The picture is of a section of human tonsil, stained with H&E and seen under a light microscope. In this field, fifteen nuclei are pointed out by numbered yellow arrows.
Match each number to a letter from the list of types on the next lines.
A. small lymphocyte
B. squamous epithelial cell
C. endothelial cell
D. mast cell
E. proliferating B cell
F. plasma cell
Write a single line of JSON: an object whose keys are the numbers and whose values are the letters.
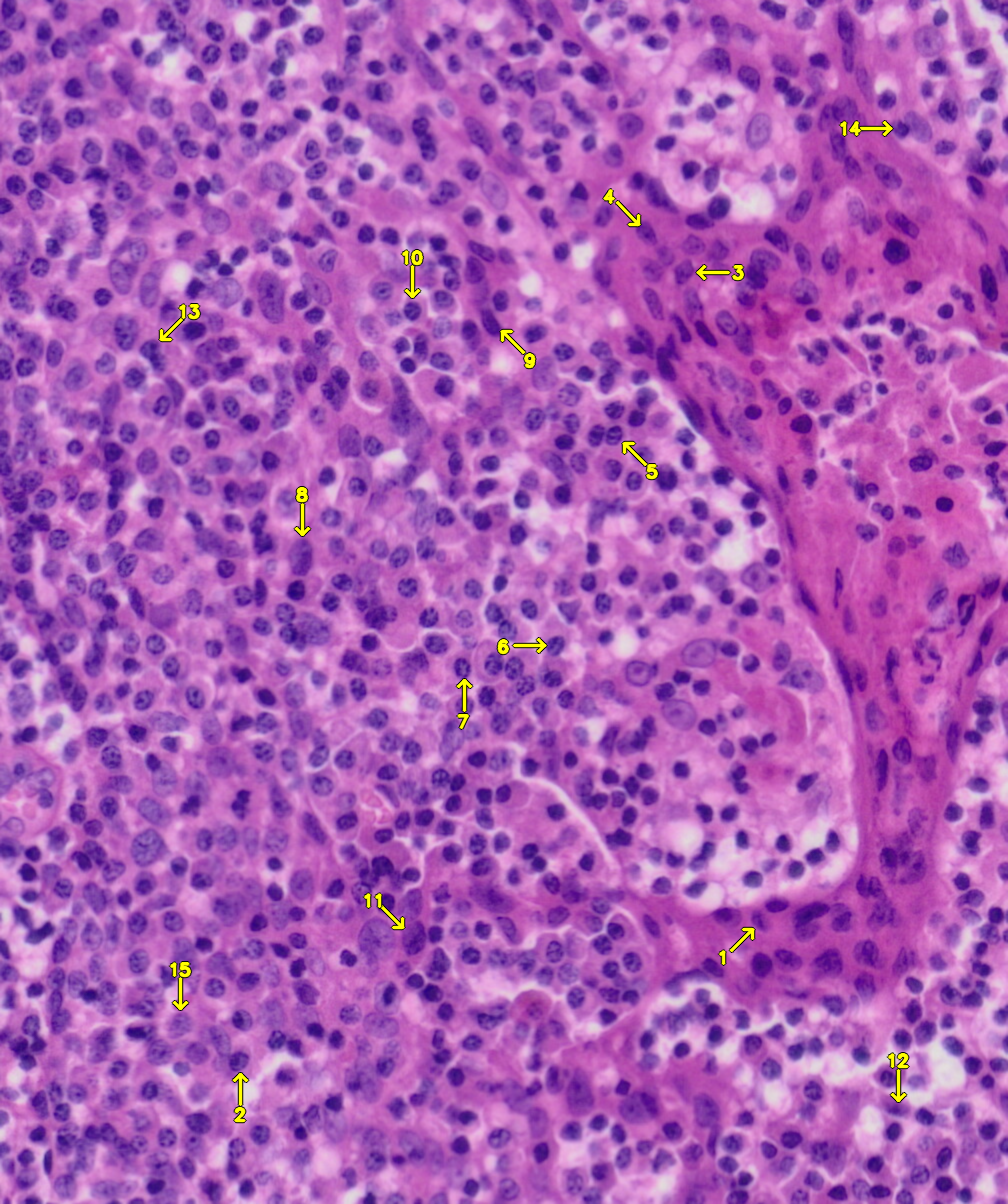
{"1": "B", "2": "F", "3": "B", "4": "B", "5": "F", "6": "F", "7": "F", "8": "B", "9": "B", "10": "F", "11": "B", "12": "F", "13": "F", "14": "B", "15": "B"}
